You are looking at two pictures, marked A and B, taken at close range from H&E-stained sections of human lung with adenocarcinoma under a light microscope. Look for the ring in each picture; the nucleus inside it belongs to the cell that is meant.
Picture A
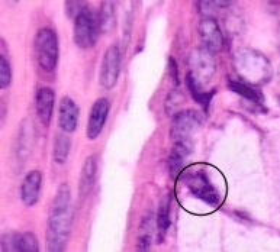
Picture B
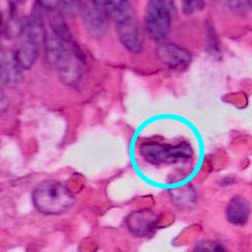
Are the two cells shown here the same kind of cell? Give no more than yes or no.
no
